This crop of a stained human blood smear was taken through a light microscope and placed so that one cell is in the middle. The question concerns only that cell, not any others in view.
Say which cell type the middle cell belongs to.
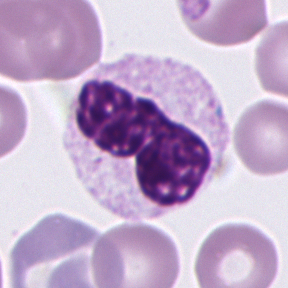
segmented neutrophil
